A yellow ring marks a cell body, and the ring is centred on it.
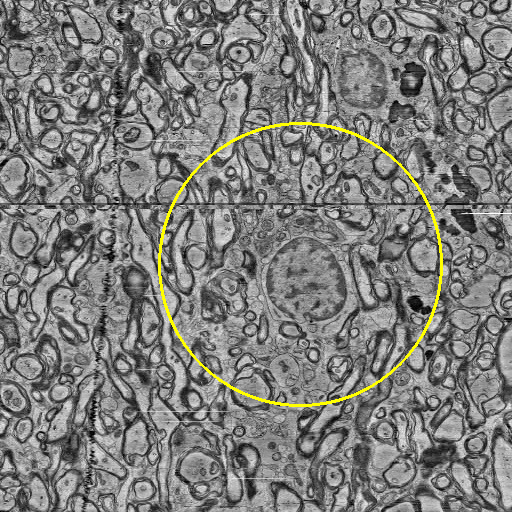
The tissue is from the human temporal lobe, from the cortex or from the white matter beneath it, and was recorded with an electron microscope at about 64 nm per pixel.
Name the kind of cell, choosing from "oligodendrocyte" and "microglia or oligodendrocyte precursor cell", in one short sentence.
The marked cell body belongs to a microglial cell or oligodendrocyte precursor cell.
